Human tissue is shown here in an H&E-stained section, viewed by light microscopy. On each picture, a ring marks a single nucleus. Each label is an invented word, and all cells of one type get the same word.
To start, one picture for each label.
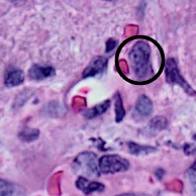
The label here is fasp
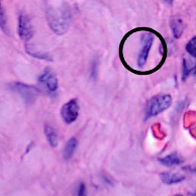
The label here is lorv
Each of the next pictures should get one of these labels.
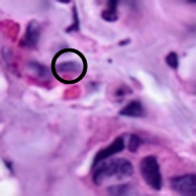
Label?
fasp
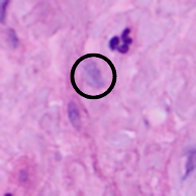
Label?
lorv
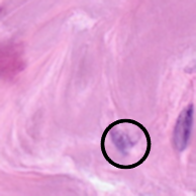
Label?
lorv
